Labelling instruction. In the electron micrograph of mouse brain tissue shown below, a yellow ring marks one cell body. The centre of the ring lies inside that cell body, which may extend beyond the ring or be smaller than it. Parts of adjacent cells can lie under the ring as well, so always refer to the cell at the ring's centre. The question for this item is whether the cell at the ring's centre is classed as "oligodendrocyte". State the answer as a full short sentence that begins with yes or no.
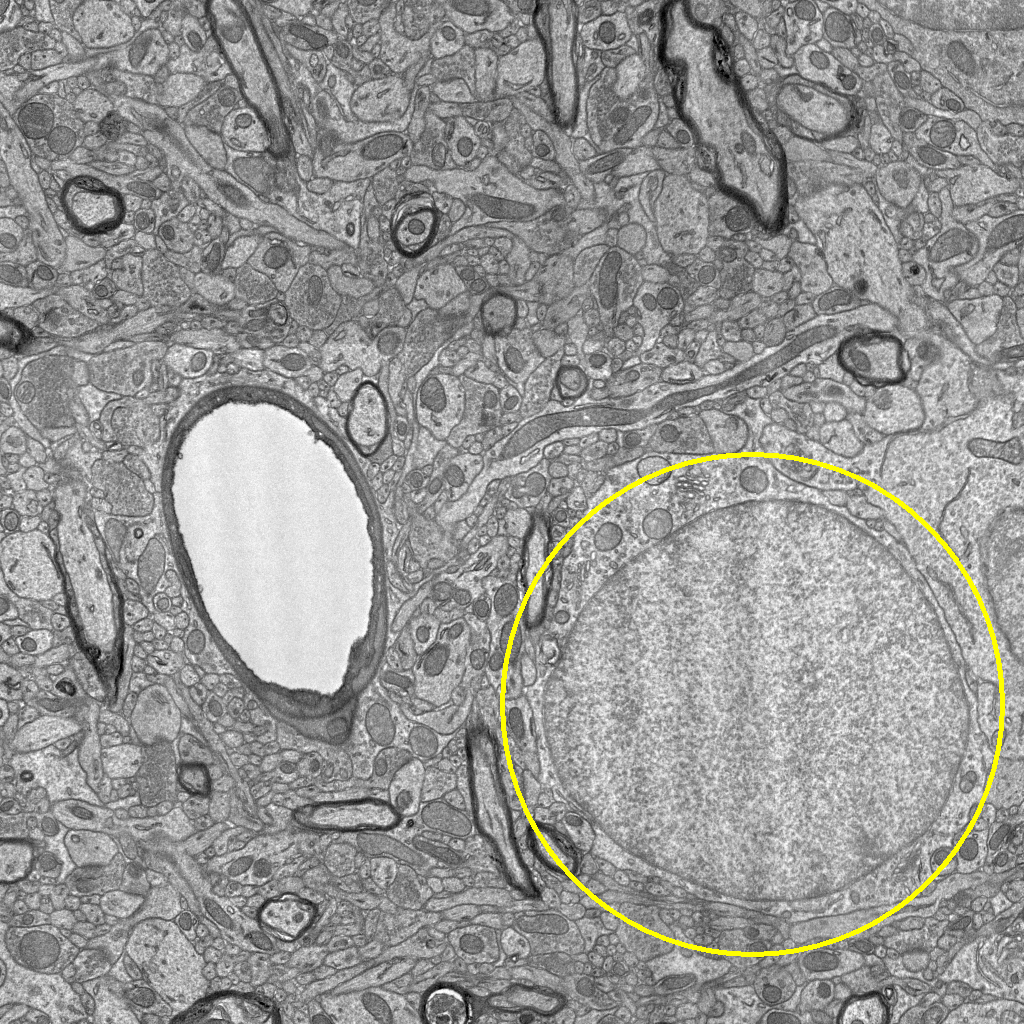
No, the cell at the ring's centre belongs to another class.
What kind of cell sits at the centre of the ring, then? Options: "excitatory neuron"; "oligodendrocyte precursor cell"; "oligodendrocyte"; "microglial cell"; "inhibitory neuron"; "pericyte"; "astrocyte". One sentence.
The cell at the middle of the ring is an astrocyte.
